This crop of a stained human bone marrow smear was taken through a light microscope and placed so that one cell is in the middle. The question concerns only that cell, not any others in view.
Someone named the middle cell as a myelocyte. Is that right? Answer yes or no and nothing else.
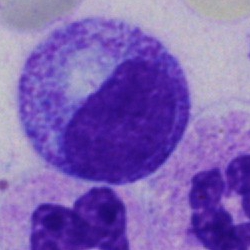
yes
